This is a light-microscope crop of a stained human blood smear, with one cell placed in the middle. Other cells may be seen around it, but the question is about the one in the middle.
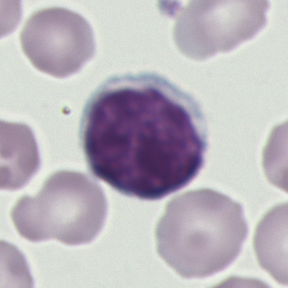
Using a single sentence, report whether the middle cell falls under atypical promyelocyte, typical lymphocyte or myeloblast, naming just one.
This crop is built around a typical lymphocyte at its centre.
